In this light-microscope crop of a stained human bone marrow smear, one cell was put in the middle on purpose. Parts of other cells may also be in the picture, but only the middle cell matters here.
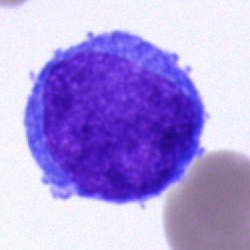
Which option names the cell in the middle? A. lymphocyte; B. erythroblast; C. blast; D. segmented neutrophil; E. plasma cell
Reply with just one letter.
C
